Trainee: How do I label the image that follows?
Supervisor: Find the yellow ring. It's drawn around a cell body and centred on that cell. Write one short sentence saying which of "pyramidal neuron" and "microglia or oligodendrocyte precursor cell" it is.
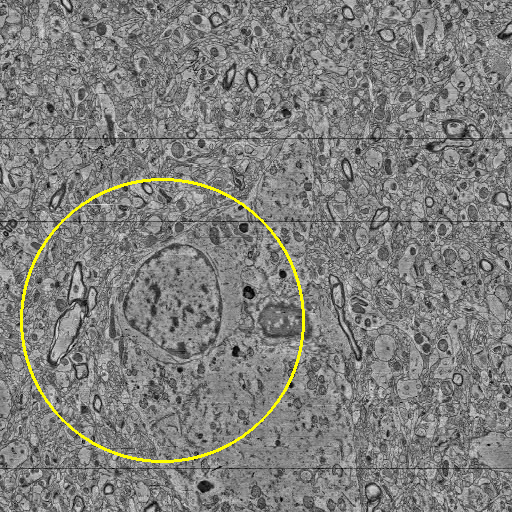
This is the cell body of a microglial cell or oligodendrocyte precursor cell.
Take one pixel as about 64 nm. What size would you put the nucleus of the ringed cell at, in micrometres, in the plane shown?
In this plane, the nucleus is roughly 7 by 6 micrometres.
